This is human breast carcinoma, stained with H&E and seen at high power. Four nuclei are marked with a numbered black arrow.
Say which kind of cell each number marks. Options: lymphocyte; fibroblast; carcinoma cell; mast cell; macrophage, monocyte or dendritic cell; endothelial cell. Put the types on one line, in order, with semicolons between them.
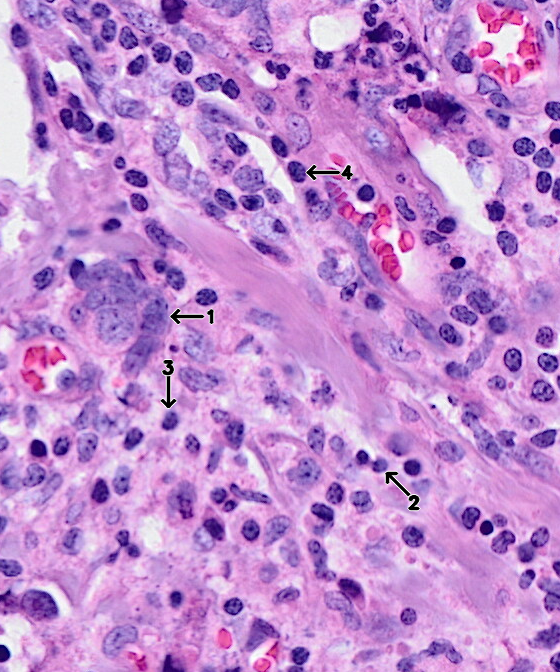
carcinoma cell; lymphocyte; lymphocyte; lymphocyte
